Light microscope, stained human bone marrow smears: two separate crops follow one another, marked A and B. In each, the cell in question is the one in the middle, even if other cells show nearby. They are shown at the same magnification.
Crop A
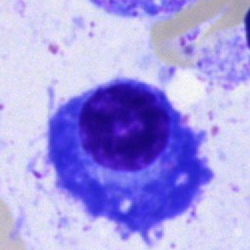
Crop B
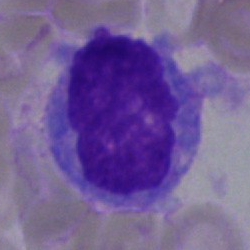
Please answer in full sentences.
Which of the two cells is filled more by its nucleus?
In crop B the nucleus takes up the larger part of its cell.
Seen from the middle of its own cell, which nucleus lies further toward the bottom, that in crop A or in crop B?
In crop B the nucleus is shifted more toward the bottom.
